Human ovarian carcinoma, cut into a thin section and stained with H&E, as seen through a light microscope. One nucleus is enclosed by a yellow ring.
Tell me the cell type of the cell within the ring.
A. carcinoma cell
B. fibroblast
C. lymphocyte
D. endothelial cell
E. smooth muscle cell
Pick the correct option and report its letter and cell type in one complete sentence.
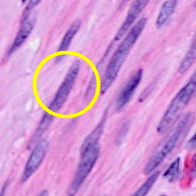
Option E is correct; the cell within the ring is a smooth muscle cell.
